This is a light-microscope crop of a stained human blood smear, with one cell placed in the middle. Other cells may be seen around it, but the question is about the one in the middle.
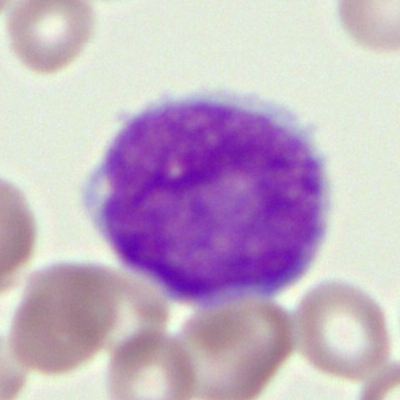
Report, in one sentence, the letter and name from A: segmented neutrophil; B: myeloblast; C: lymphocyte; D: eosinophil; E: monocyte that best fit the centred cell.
The cell centered in the crop is a monocyte, making option E the correct pick.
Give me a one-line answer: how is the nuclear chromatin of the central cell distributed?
Heads up, the chromatin is fine with no coarse clumps in it.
